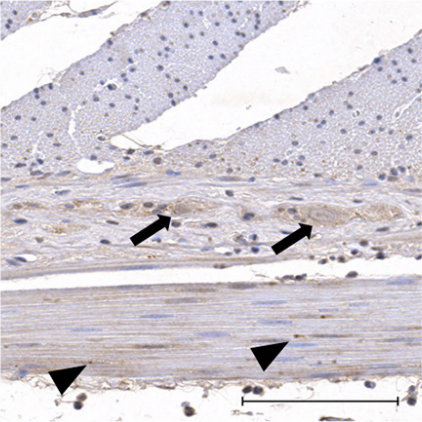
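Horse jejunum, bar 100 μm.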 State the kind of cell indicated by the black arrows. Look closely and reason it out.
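Neurons. The arrows point at large cells with abundant light brown cytoplasm. These cells lie in a band between two layers of muscle.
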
